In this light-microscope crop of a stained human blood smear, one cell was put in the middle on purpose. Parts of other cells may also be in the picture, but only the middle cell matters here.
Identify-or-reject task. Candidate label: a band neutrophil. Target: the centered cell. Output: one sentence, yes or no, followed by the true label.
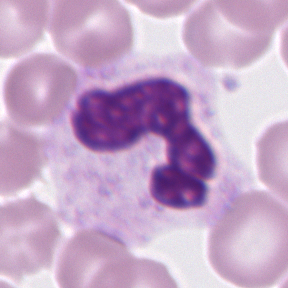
No, sorry, the middle cell is a segmented neutrophil rather than a band neutrophil.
